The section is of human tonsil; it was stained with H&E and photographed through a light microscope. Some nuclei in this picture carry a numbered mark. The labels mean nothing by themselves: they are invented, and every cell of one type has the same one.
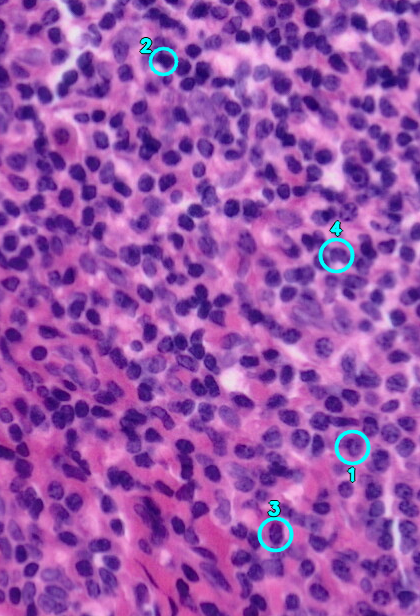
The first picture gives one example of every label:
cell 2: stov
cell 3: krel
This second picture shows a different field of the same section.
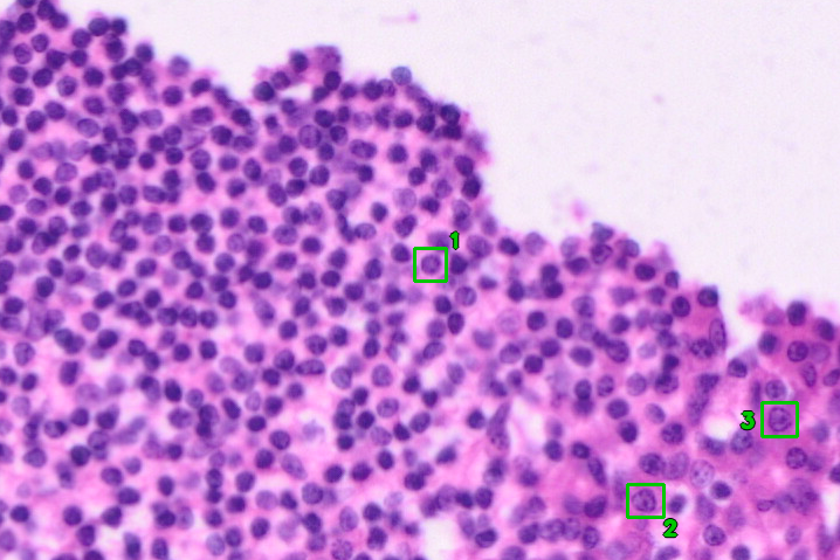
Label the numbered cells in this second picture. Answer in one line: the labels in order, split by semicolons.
stov; krel; krel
